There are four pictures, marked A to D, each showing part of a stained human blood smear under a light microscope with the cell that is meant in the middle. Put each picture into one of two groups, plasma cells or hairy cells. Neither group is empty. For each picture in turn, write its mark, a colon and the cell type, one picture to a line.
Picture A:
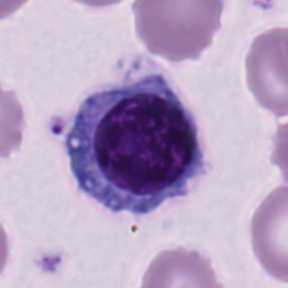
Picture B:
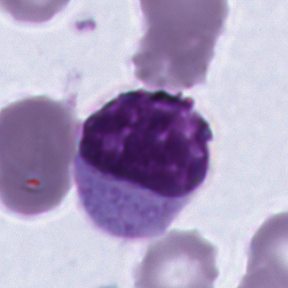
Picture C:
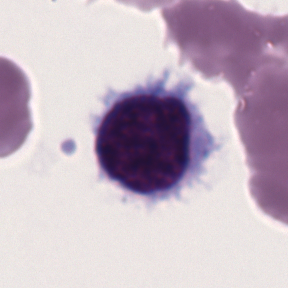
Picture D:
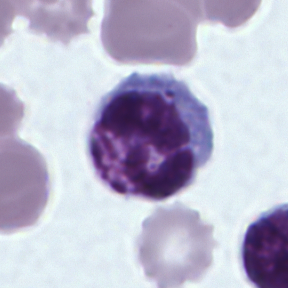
A: plasma cell
B: plasma cell
C: hairy cell
D: plasma cell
